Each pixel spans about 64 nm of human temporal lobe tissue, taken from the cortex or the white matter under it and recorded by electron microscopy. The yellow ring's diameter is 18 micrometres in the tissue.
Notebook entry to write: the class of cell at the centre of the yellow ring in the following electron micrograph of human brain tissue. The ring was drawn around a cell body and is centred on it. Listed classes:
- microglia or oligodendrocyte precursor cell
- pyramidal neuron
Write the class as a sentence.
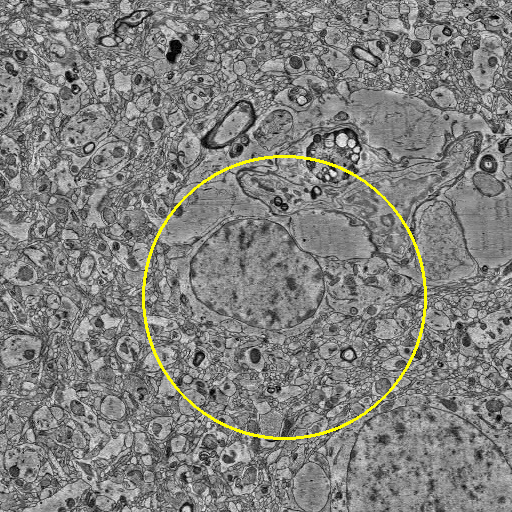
The yellow ring sits on a microglial cell or oligodendrocyte precursor cell.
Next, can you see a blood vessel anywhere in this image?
Yes, a blood vessel shows in the picture.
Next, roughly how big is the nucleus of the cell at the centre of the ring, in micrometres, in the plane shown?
Roughly 9 by 7 micrometres in this plane, for the nucleus of the ringed cell.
